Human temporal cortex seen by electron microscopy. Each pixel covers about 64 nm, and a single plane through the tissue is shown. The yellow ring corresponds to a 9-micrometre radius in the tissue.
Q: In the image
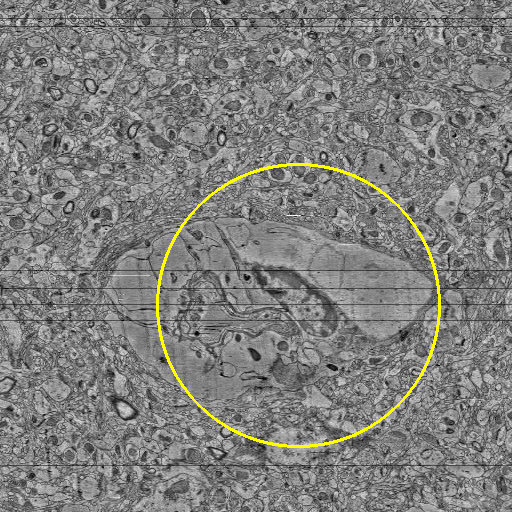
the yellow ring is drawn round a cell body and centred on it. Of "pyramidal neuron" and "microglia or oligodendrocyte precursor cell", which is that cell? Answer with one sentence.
The cell centred in the ring is a microglial cell or oligodendrocyte precursor cell.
